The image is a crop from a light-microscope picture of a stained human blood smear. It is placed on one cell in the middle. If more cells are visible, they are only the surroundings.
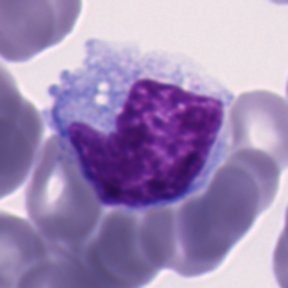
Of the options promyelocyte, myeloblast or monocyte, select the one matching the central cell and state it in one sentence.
The cell positioned in the middle of the field is a monocyte.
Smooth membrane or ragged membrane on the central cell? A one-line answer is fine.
A ragged or projecting edge replaces the smooth outline in this cell.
